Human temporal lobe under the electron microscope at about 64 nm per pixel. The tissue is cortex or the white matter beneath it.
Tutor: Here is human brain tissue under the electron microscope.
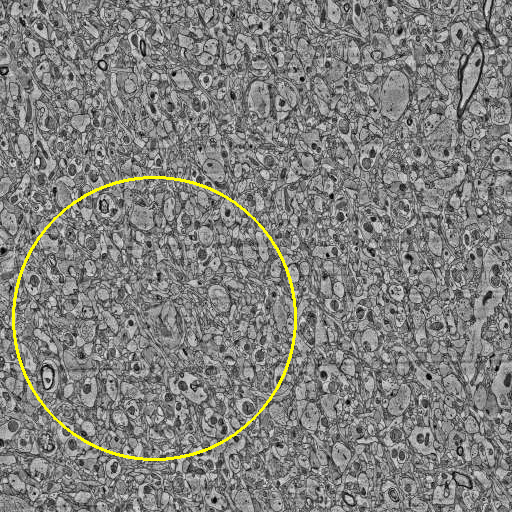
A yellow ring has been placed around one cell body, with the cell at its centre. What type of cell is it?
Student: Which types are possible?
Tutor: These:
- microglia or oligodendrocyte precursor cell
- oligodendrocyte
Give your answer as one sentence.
What the ring picks out here is an oligodendrocyte.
